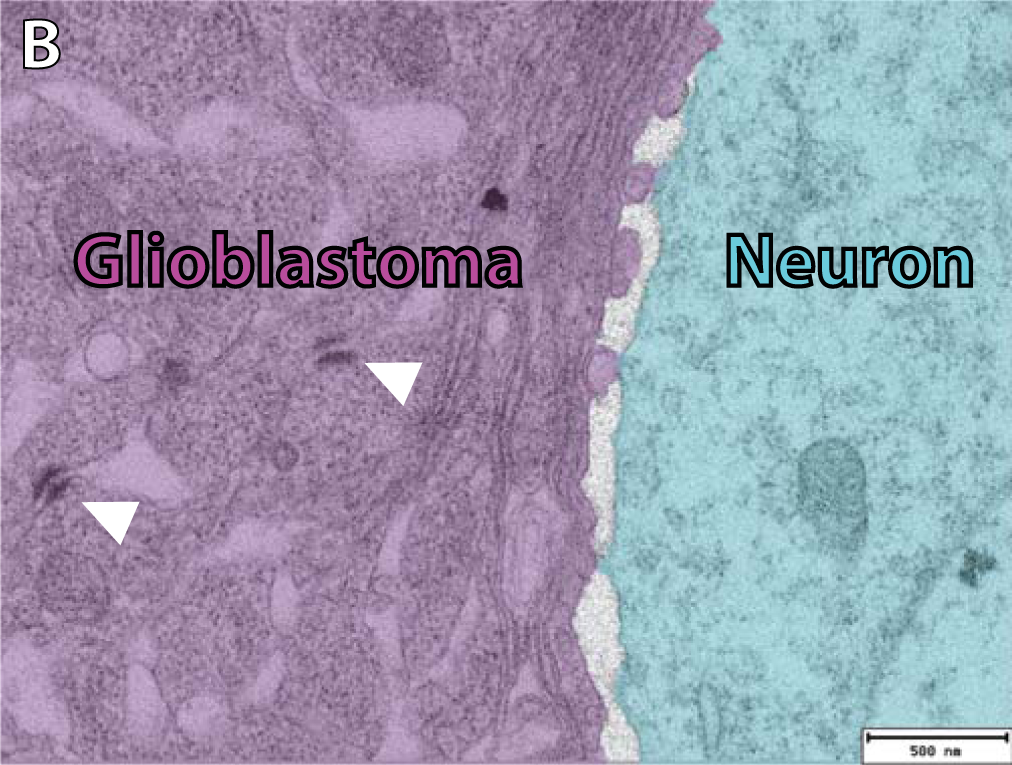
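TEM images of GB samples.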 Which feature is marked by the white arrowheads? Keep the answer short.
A: Intratumoral synapses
